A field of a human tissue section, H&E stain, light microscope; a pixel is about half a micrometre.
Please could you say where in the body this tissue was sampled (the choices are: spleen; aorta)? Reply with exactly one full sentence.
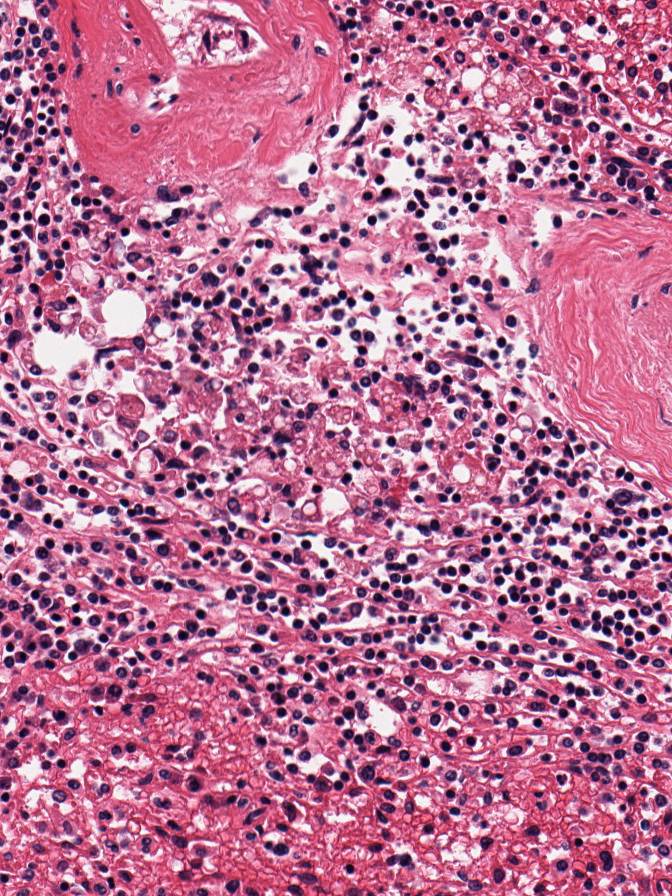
The section was prepared from tissue of the spleen.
